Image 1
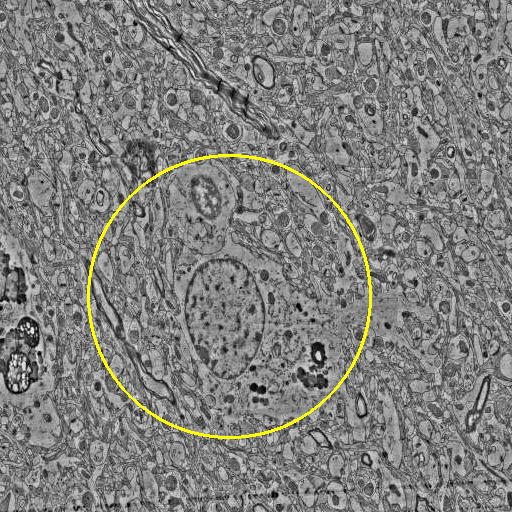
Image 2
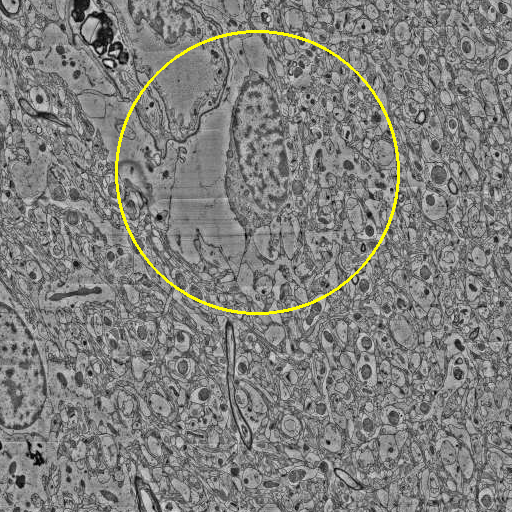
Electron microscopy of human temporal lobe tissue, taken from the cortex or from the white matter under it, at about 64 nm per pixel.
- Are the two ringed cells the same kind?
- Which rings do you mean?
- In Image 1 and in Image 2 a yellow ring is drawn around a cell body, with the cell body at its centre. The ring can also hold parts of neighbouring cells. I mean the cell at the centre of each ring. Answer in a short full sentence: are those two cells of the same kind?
No, the cells are of two kinds.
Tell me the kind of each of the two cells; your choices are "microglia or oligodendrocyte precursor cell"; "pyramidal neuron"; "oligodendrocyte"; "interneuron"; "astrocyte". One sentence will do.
The ringed cell is an astrocyte in the first picture and an oligodendrocyte in the second picture.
